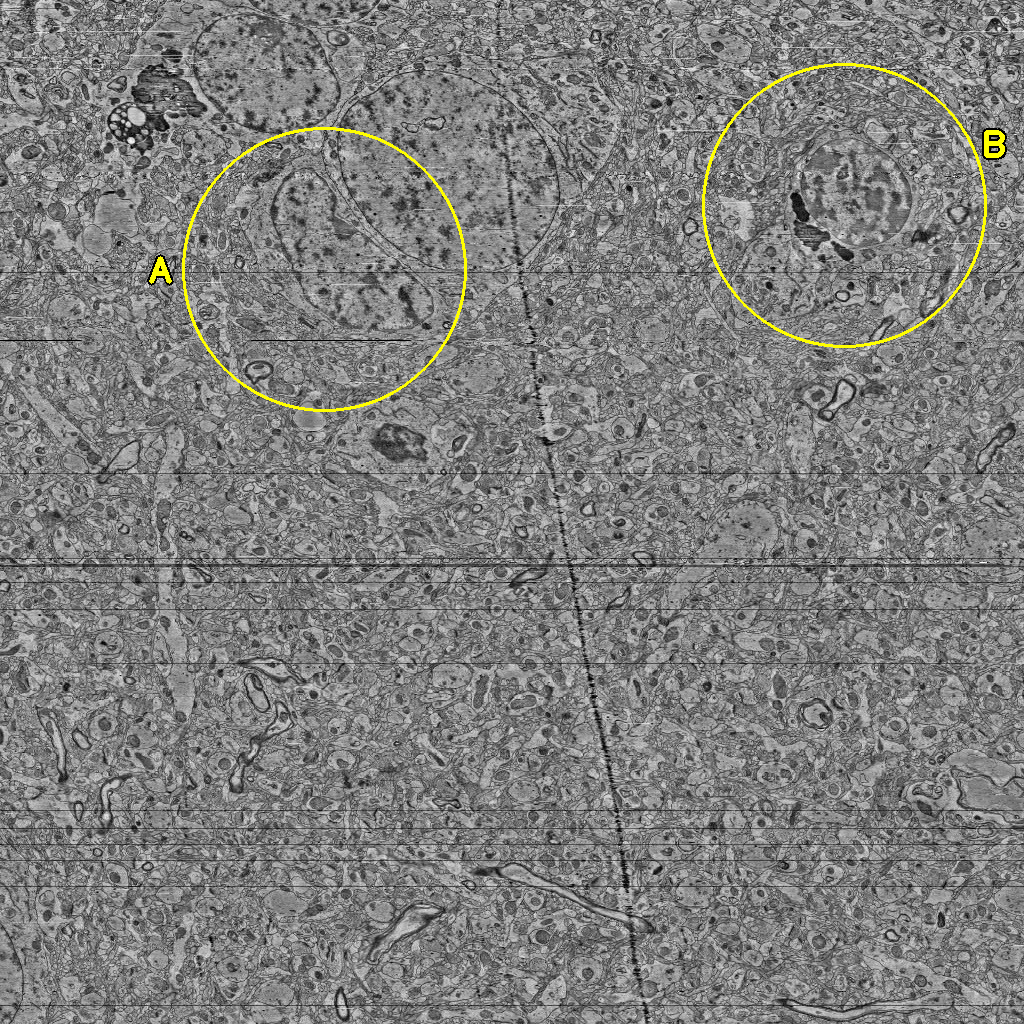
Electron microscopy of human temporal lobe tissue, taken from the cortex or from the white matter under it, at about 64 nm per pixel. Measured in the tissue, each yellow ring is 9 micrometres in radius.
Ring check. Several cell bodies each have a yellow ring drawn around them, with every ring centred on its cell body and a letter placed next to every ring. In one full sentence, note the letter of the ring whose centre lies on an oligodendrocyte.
At the centre of ring B lies the cell asked for in this check.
